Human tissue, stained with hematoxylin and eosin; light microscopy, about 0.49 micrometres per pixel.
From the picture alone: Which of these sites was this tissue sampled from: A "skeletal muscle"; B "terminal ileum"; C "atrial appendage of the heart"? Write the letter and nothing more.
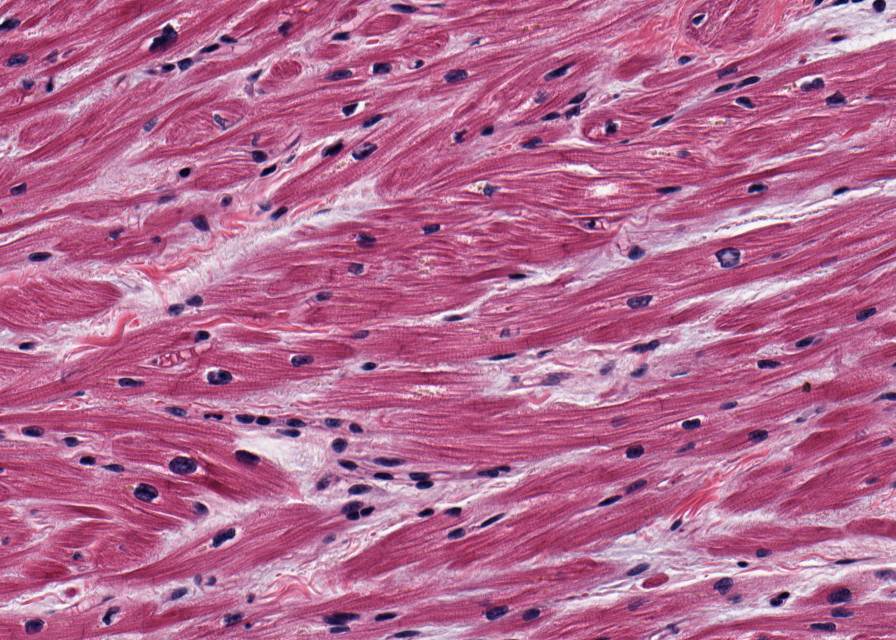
C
